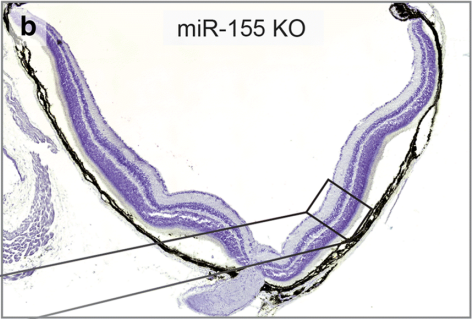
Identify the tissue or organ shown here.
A: whole retinas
